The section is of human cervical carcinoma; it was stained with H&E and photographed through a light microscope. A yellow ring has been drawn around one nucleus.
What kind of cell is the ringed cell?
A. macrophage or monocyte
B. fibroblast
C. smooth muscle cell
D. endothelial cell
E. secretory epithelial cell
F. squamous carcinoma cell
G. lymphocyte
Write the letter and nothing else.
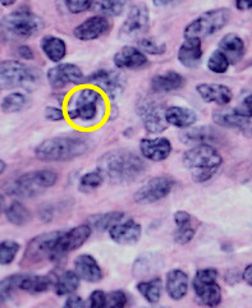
G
